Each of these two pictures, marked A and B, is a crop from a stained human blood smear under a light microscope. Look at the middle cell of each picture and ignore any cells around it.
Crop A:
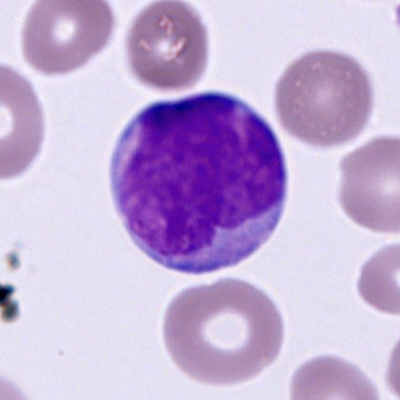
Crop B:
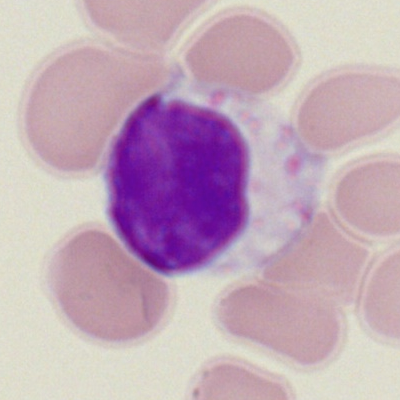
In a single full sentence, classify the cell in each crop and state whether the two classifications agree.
No, crop A is to be identified as a blast and crop B as a lymphocyte.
